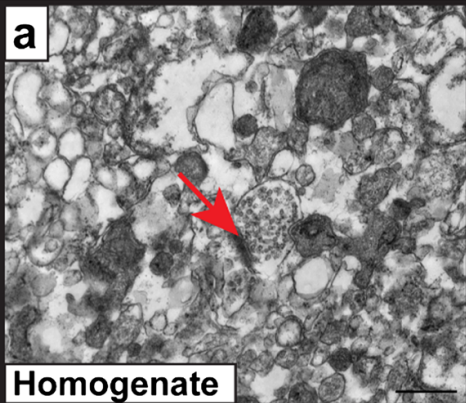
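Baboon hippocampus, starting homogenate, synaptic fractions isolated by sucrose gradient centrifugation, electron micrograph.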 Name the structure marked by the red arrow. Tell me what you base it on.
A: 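Neurosynaptosomal unit. The arrow points to a rounded membrane-bound profile. The profile is filled with many small round clear vesicles. It lies among irregular membrane fragments and dark organelles.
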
